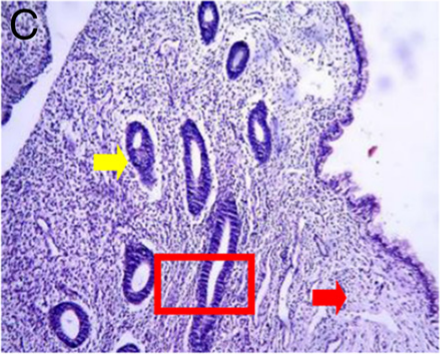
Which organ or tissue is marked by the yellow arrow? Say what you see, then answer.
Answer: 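Endometrial tissue. The arrow points to a tubular gland set in a dense, cellular stroma. Many similar round and tubular glands with dark-staining epithelium are scattered through the stroma.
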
